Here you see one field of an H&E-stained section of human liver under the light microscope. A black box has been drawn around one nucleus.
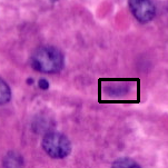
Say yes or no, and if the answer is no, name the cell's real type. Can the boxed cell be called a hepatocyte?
No, it is an endothelial cell.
